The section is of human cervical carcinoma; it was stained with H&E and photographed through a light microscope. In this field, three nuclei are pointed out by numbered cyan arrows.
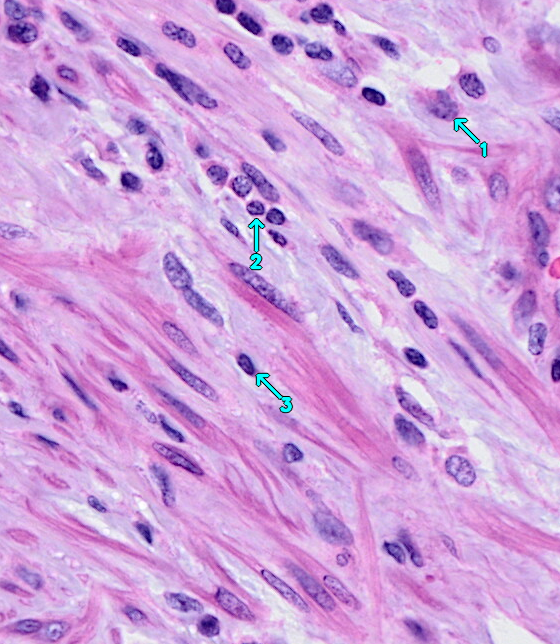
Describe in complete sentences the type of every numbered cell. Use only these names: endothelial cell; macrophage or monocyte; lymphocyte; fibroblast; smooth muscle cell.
Cell 1 is a macrophage or monocyte. Cells 2 and 3 are lymphocytes.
